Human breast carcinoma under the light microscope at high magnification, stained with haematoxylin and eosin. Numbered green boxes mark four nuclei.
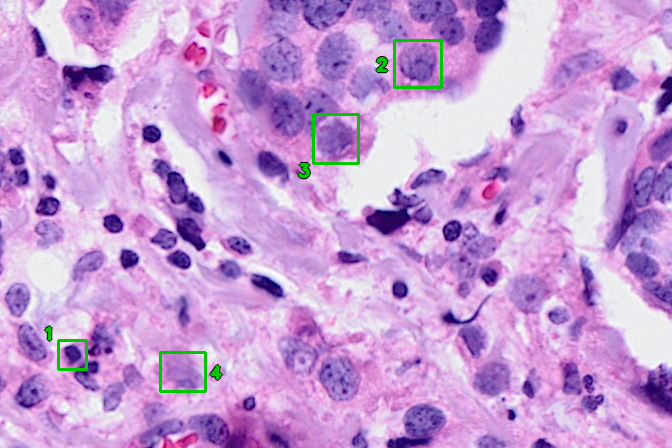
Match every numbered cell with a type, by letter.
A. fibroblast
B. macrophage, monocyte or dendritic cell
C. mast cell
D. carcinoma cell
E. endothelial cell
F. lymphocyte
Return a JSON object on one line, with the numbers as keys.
{"1": "F", "2": "D", "3": "D", "4": "A"}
